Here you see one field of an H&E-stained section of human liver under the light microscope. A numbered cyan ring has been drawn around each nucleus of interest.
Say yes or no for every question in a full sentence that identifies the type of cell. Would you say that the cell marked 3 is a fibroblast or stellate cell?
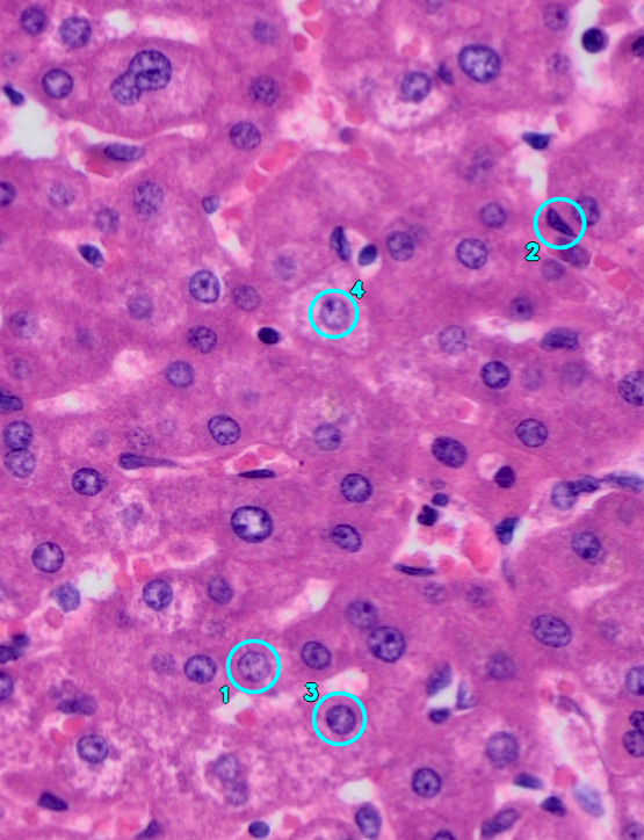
No, the cell indicated by 3 is a hepatocyte instead of a fibroblast or stellate cell.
